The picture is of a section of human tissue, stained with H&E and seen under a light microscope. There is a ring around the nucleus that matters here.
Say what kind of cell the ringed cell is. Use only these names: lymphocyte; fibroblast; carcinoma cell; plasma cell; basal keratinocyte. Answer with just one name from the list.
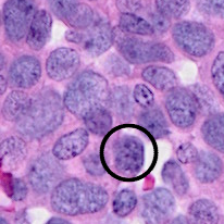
carcinoma cell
